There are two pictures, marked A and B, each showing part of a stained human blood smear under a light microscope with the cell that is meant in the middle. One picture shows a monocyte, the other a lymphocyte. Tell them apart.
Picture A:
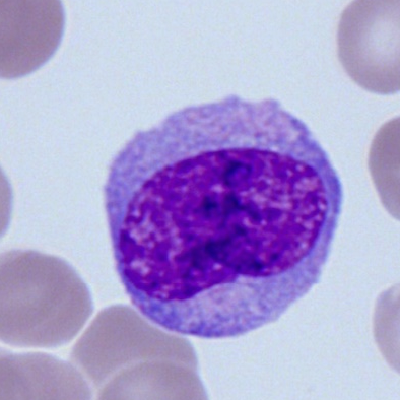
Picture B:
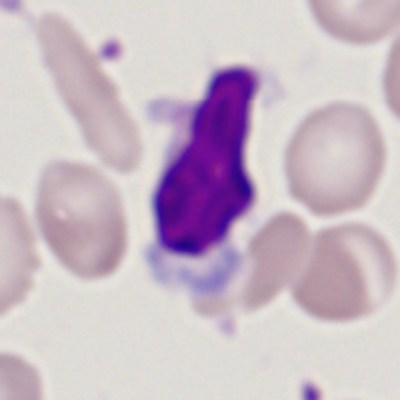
A: monocyte
B: lymphocyte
